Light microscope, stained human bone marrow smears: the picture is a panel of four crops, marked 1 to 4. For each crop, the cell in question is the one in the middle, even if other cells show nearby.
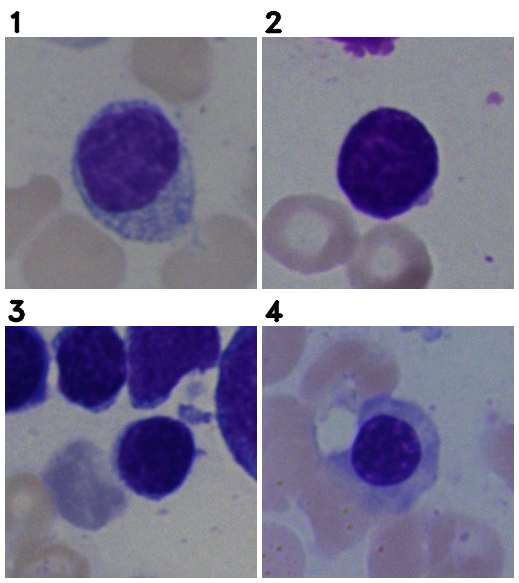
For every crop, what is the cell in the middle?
1: lymphocyte
2: blast
3: lymphocyte
4: erythroblast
